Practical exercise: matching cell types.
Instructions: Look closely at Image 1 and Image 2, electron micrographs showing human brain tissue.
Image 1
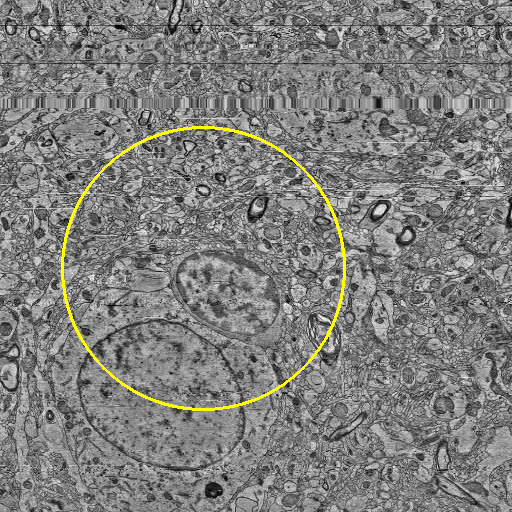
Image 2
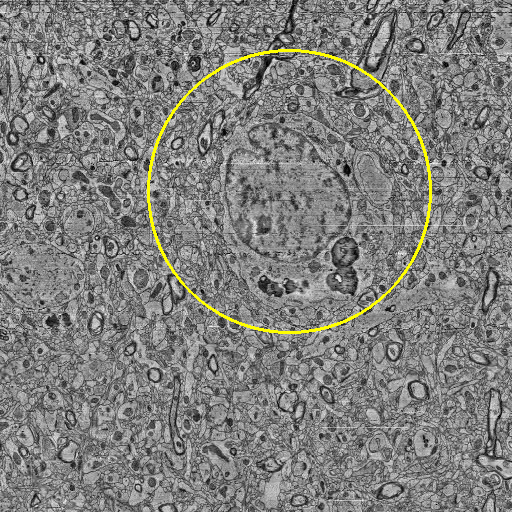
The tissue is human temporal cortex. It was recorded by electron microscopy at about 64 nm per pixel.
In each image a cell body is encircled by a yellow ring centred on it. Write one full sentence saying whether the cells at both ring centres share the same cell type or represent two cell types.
Across Image 1 and Image 2, the cells at the ring centres represent two cell types.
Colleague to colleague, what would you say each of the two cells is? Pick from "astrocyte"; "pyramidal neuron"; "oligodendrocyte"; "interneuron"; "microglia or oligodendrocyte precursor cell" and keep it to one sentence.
The cell in the first picture is an oligodendrocyte; the second picture's cell is an interneuron.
